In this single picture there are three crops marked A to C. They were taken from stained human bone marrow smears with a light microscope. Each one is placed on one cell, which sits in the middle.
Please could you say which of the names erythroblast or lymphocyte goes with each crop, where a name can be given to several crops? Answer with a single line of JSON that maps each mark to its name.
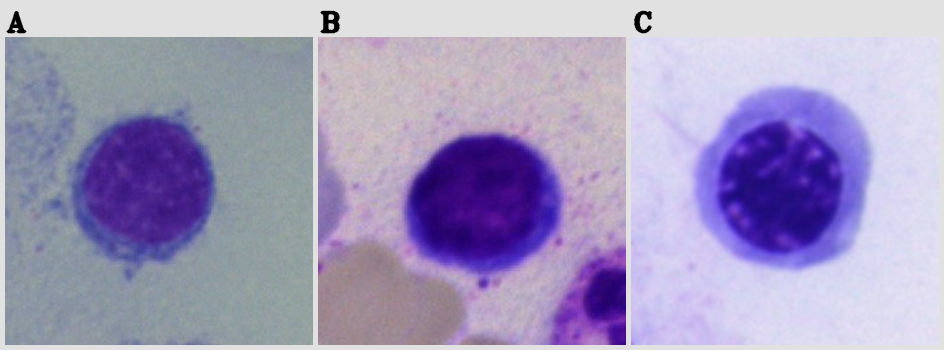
{"A": "lymphocyte", "B": "lymphocyte", "C": "erythroblast"}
